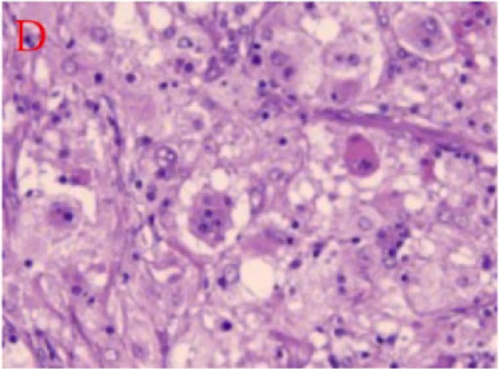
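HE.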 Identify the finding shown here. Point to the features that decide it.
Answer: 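Large cells with abundant pale cytoplasm. Small dark round nuclei lie inside the cytoplasm of several large cells.
Conclusion: Lymphocytes extending into the histiocyte cytoplasm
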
